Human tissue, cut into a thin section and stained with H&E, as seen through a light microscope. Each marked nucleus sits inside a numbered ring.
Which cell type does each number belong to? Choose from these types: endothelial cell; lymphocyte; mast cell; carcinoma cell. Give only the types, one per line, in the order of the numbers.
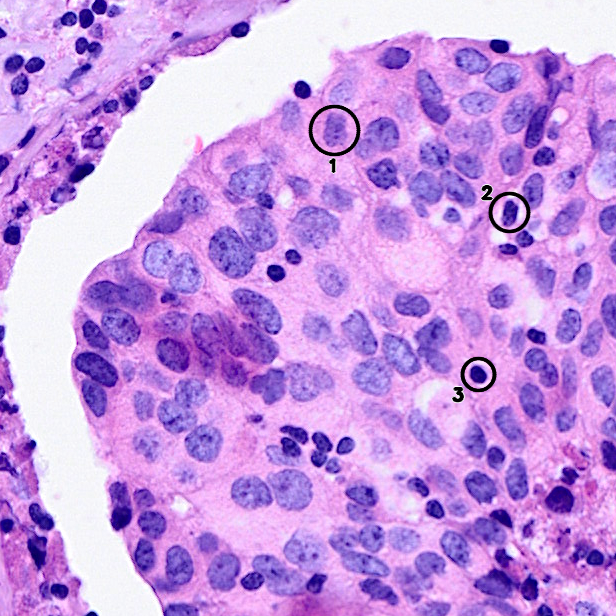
carcinoma cell
lymphocyte
lymphocyte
